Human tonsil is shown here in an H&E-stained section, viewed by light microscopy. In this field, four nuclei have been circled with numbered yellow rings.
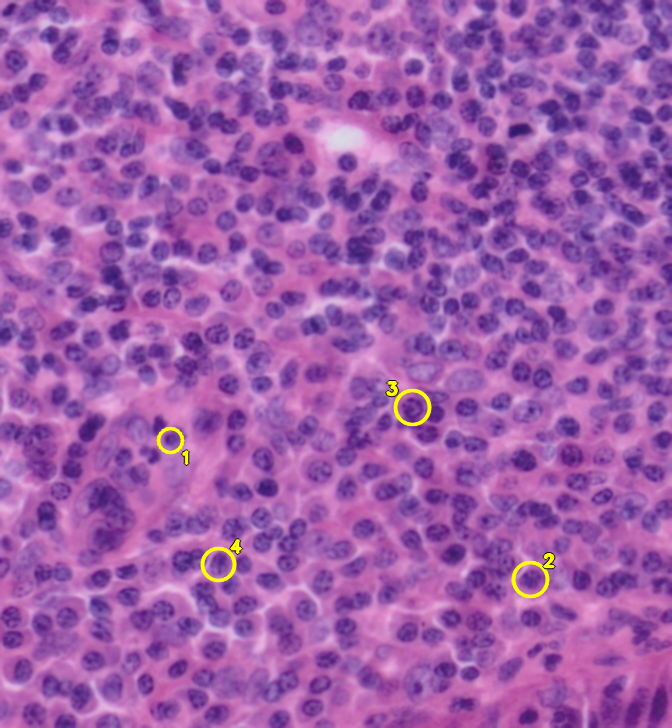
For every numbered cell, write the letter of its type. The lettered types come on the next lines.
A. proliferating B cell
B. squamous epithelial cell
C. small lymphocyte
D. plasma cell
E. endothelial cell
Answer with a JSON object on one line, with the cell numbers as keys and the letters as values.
{"1": "E", "2": "D", "3": "D", "4": "D"}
